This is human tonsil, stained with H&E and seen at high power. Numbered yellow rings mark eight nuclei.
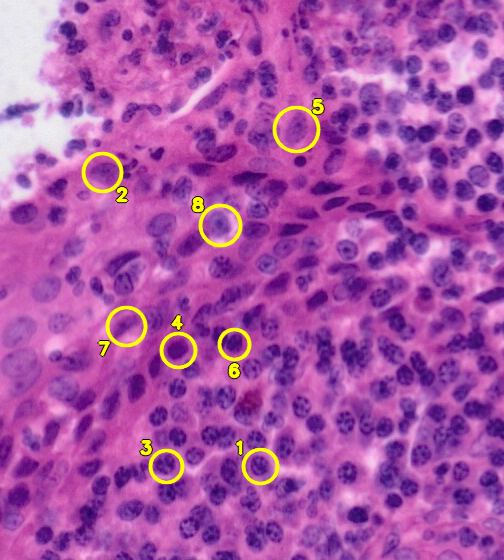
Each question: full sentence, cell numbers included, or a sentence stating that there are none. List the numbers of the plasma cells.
The cells numbered 1, 3 and 6 are typed as plasma cells.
